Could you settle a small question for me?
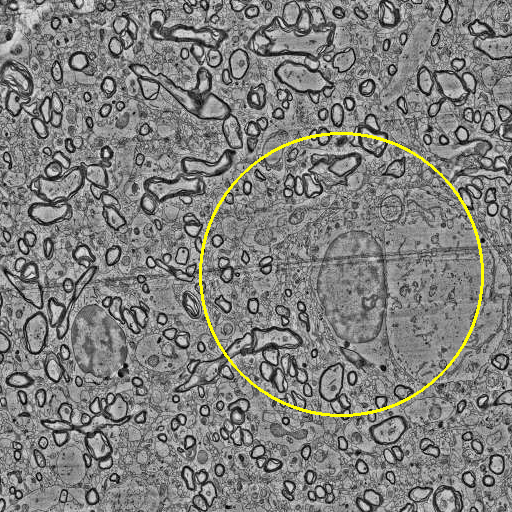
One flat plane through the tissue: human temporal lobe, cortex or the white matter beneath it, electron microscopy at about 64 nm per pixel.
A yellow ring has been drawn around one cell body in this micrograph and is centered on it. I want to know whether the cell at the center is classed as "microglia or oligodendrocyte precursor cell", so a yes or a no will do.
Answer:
no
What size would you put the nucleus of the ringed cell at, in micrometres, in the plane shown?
Roughly 7 by 5 micrometres; in this plane, clearly longer than it is wide.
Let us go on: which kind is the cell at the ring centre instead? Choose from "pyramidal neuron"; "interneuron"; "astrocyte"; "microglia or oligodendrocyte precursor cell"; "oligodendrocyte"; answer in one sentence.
The ringed cell in this picture is, instead, an oligodendrocyte.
